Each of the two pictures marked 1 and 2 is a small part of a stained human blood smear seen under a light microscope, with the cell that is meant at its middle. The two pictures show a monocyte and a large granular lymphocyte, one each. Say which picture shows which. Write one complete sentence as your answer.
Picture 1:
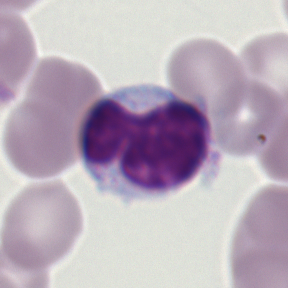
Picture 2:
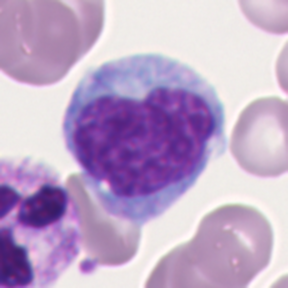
Picture 1 is of a large granular lymphocyte, and picture 2 is of a monocyte.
